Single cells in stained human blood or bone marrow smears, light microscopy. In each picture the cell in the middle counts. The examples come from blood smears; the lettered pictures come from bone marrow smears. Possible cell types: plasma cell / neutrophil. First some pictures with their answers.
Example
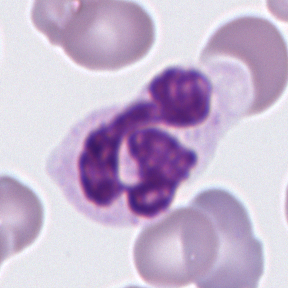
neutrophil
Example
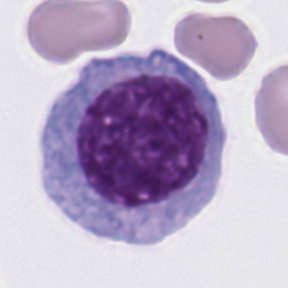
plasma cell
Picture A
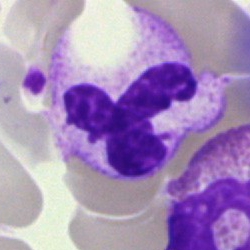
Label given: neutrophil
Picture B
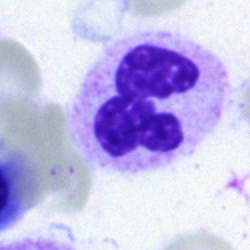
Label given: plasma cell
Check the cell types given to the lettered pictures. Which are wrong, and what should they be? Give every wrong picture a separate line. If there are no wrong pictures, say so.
B: neutrophil, not plasma cell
